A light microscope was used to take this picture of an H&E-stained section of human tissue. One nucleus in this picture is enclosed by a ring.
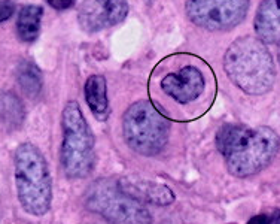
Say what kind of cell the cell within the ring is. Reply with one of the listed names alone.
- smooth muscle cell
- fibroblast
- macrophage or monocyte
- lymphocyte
macrophage or monocyte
